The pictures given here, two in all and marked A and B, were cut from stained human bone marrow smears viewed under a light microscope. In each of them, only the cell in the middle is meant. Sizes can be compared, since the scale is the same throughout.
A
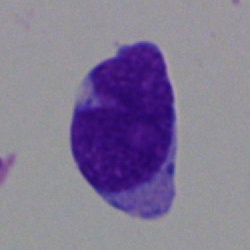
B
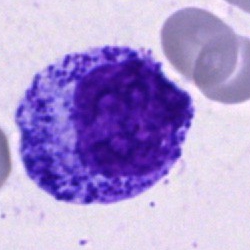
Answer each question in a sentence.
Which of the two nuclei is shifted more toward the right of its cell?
Seen within its cell, the nucleus in crop B lies further toward the right.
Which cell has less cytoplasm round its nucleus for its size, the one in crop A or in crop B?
The nucleus fills more of the cell in crop A than in crop B.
